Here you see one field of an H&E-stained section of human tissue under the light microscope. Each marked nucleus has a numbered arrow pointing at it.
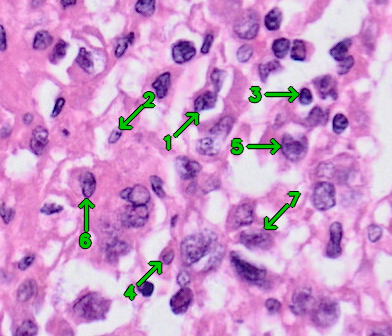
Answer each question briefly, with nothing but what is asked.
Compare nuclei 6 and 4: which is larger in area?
6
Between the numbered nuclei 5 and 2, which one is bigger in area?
5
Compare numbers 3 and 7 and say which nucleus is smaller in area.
3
